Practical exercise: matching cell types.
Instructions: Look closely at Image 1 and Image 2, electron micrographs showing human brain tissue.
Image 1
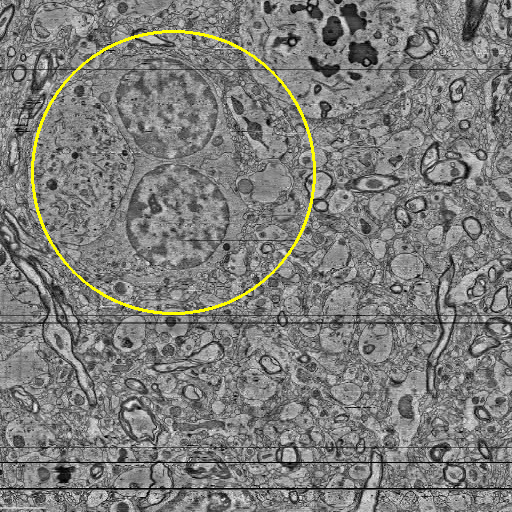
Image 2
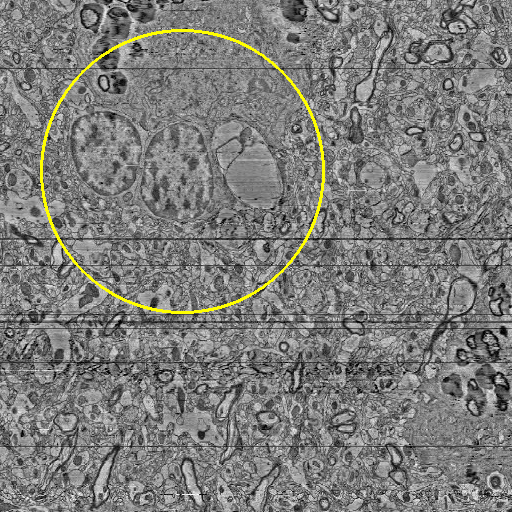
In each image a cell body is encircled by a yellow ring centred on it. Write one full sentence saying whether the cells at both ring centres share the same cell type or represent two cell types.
Across Image 1 and Image 2, the cells at the ring centres share the same cell type.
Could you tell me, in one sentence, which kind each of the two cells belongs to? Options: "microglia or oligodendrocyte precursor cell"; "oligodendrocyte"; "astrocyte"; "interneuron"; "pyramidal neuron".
In both pictures the ring is centred on an oligodendrocyte.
